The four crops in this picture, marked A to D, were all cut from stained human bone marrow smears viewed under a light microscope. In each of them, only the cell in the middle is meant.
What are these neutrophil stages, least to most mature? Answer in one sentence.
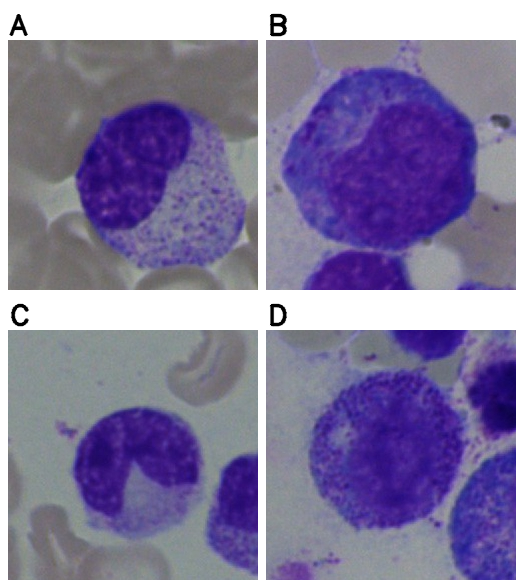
Arranged by increasing maturity, the crops are crop B (a promyelocyte), crop D (a myelocyte), crop A (a metamyelocyte) and crop C (a band neutrophil).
